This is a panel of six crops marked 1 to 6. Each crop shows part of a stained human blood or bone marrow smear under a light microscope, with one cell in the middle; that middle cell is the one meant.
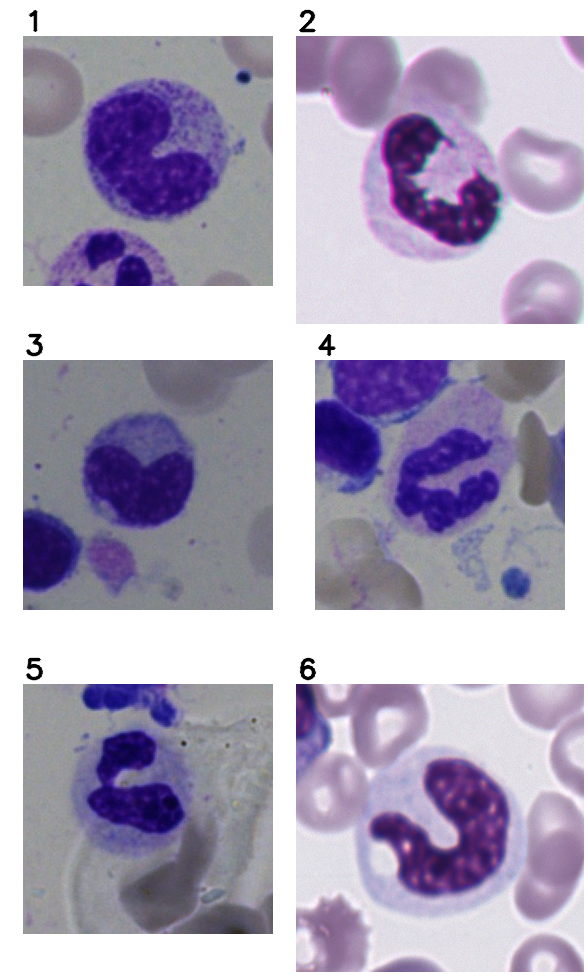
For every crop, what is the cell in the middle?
1: band neutrophil
2: segmented neutrophil
3: band neutrophil
4: segmented neutrophil
5: segmented neutrophil
6: band neutrophil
